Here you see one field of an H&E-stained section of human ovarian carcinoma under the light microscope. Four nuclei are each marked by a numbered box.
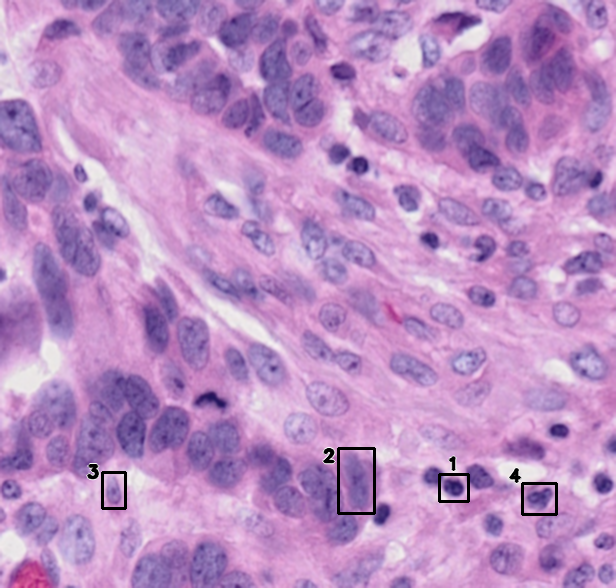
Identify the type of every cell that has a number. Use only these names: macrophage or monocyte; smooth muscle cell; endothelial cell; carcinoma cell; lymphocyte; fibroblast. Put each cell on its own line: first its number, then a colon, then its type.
1: lymphocyte
2: carcinoma cell
3: macrophage or monocyte
4: lymphocyte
